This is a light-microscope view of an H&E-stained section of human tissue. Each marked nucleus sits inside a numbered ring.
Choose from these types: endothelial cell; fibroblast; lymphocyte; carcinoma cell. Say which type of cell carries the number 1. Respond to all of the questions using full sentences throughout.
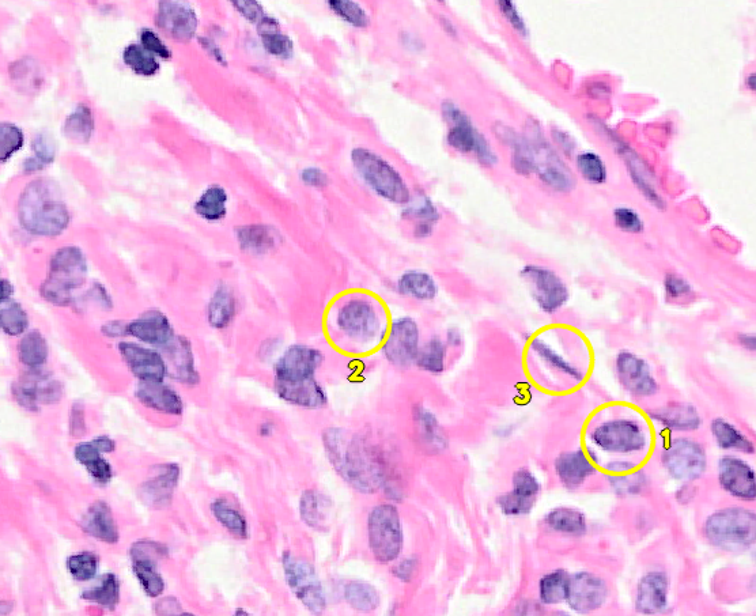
The cell that goes by number 1 is a carcinoma cell.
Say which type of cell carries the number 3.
The cell to which the number 3 is assigned is a fibroblast.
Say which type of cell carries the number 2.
Number 2 among the marked cells is a carcinoma cell.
